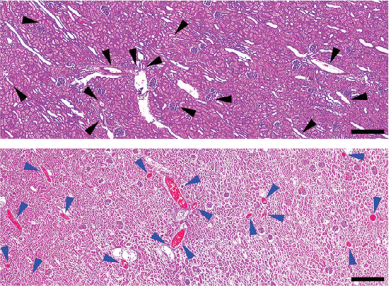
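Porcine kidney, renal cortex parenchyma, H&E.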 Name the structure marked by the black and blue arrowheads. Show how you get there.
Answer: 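The arrowheads point to small round or elongated lumens scattered among the tubules. Several of the lumens marked by blue arrowheads are filled with a pink-red material.
Hence: microvessels.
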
